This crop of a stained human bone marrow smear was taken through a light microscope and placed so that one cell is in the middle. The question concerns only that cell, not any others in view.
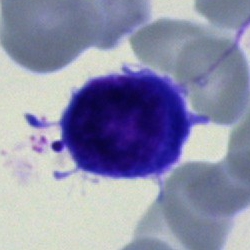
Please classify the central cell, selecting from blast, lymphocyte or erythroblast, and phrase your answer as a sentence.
This particular crop is centered on a lymphocyte.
